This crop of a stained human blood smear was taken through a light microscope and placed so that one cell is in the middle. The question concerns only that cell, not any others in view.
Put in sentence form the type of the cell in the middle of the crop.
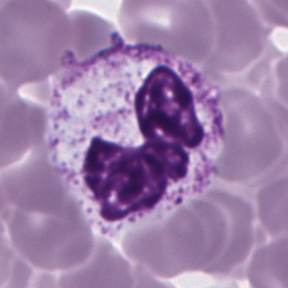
Centred in the crop is a segmented neutrophil.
